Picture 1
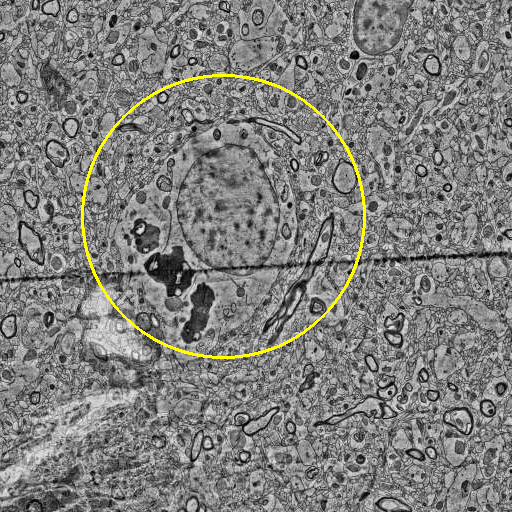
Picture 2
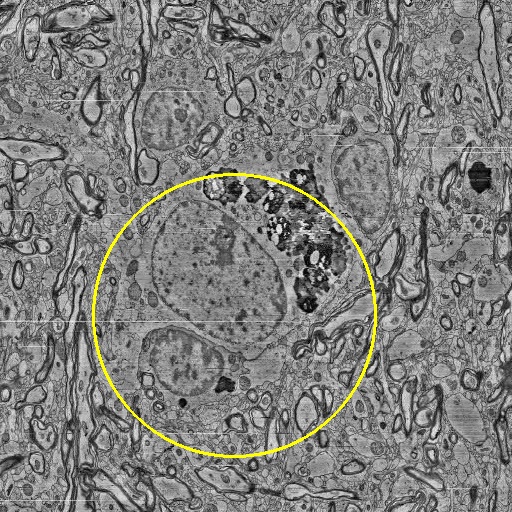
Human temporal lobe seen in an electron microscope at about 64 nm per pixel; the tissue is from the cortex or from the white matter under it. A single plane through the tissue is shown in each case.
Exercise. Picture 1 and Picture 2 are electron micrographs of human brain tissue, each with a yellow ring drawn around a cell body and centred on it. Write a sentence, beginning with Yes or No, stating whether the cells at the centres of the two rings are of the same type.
Yes, the cells at the centres of both rings are of the same type.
